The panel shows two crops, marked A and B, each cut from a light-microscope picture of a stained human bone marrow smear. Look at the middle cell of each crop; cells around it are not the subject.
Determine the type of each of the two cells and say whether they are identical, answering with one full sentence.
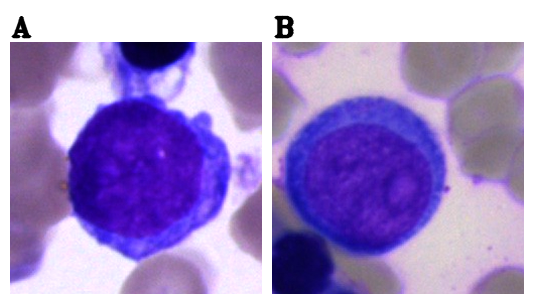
Yes, that holds, both crops show blasts.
